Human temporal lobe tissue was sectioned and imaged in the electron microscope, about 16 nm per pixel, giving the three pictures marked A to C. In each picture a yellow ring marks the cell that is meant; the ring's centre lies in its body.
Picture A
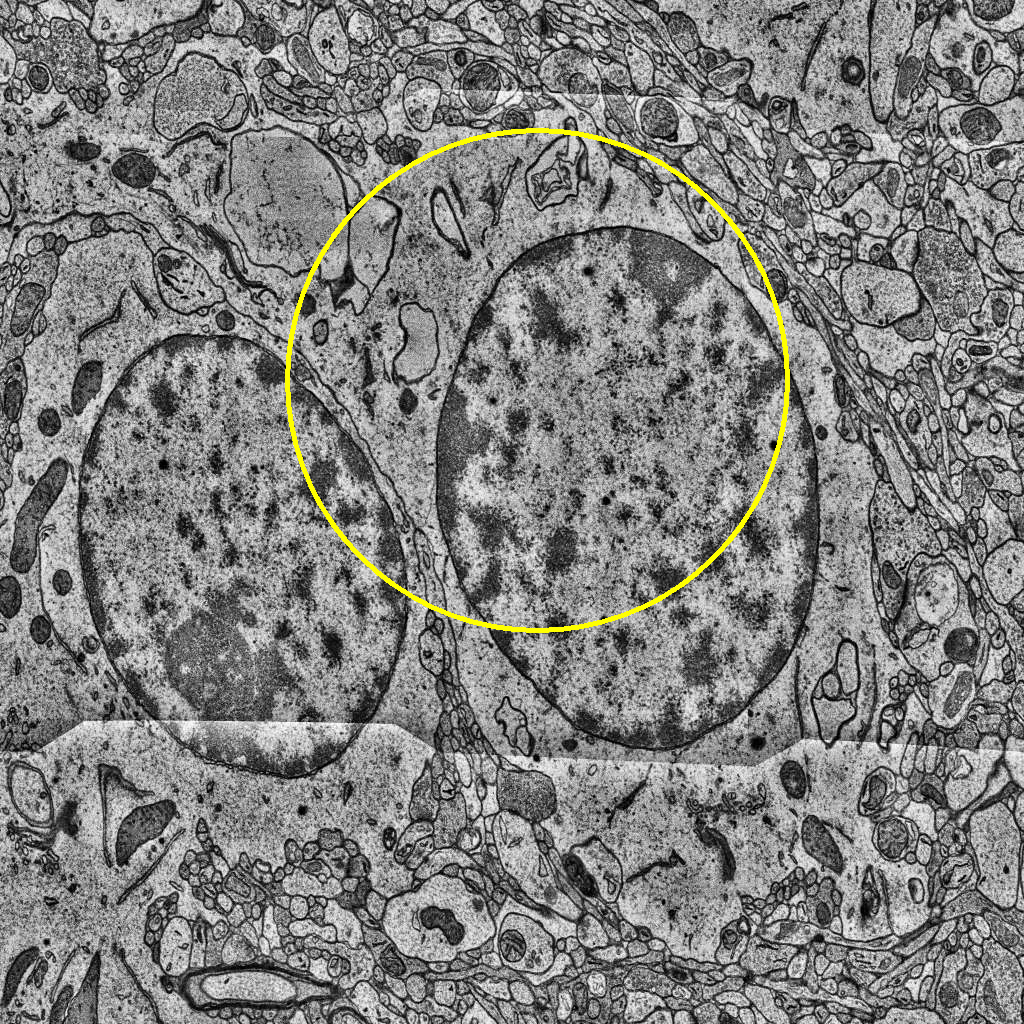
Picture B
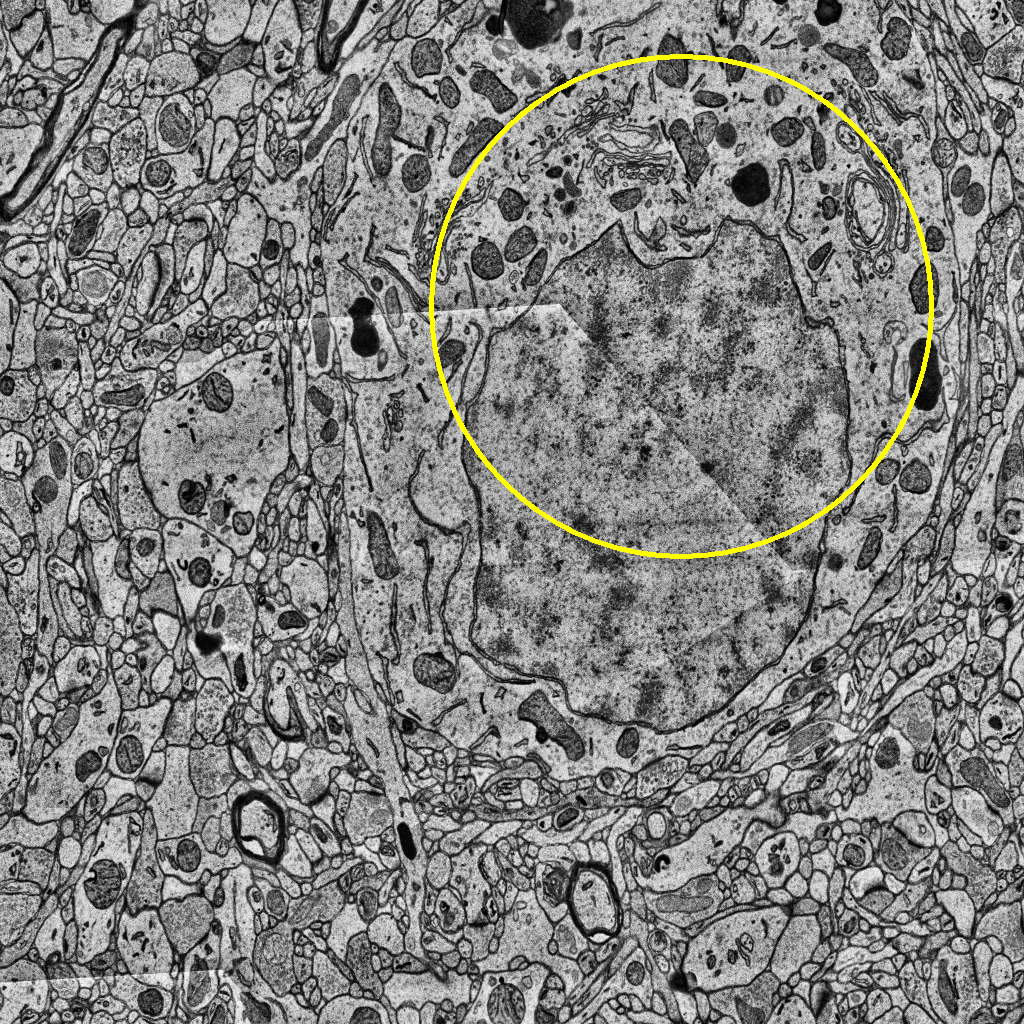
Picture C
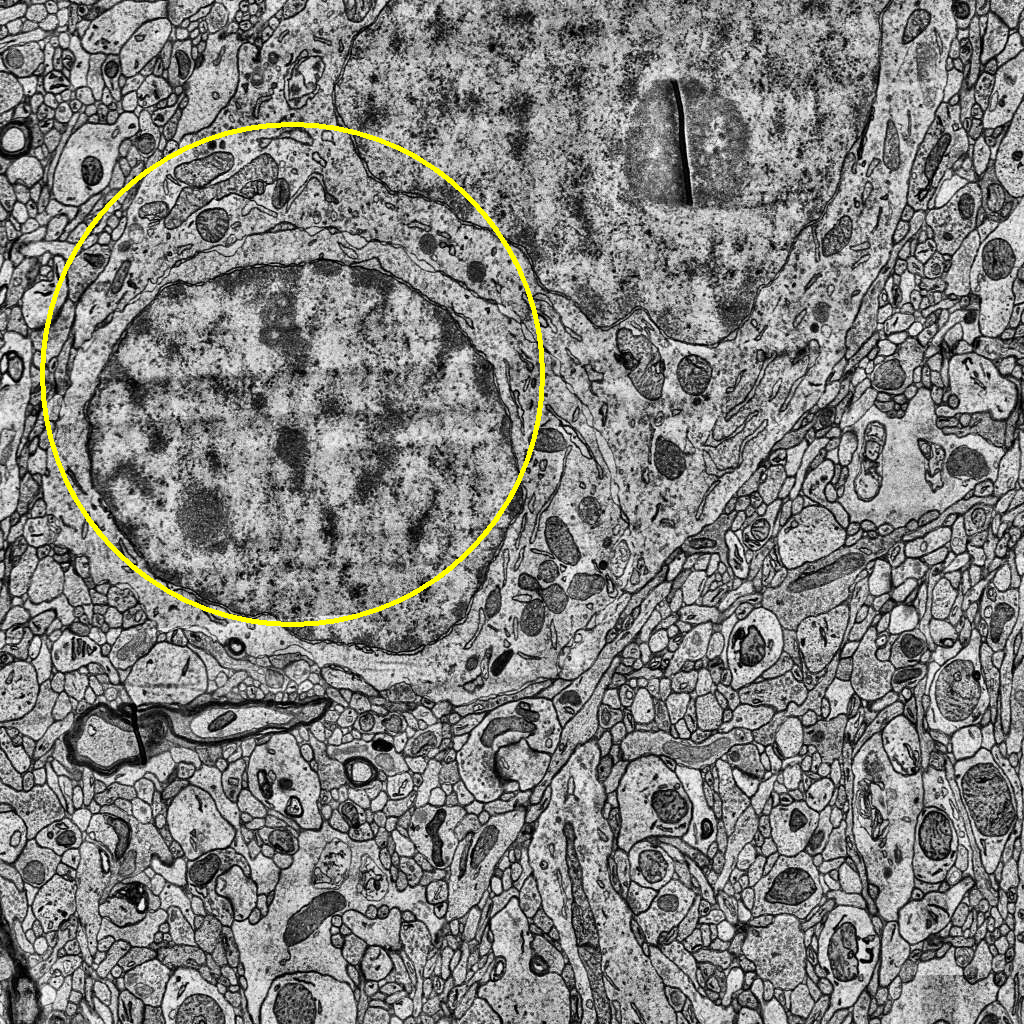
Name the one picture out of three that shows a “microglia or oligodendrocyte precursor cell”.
Picture C is the one that shows the “microglia or oligodendrocyte precursor cell”.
